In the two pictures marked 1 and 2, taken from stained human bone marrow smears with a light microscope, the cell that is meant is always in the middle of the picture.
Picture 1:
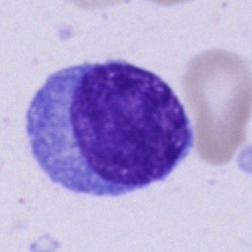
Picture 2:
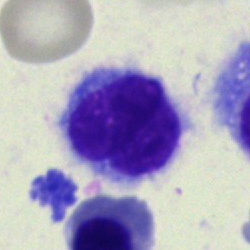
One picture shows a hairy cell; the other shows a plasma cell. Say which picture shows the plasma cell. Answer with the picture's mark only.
1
